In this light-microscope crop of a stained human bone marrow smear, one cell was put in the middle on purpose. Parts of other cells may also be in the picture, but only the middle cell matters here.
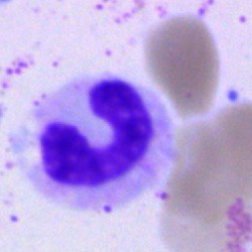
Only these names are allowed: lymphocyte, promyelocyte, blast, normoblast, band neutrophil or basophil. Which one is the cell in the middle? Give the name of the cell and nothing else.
band neutrophil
